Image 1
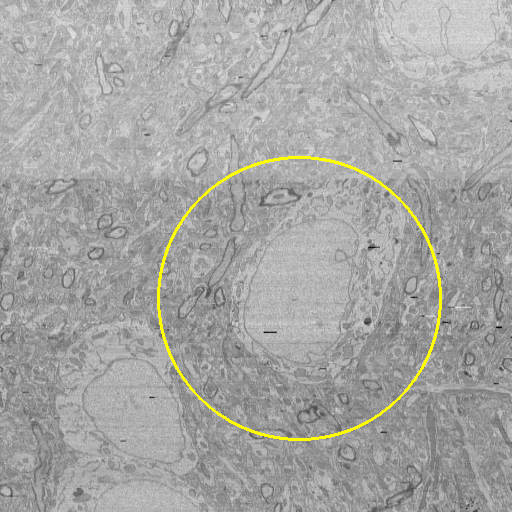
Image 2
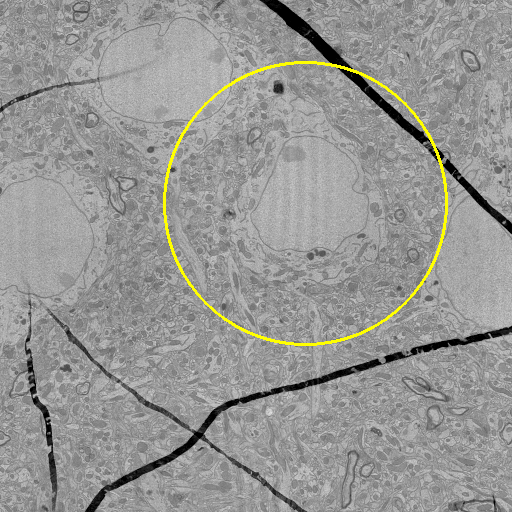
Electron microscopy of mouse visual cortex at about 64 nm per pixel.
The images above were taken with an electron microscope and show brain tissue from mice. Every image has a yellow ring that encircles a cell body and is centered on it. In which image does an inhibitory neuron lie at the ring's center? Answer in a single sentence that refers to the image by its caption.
In Image 1, the cell at the center of the yellow ring is the correct match.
